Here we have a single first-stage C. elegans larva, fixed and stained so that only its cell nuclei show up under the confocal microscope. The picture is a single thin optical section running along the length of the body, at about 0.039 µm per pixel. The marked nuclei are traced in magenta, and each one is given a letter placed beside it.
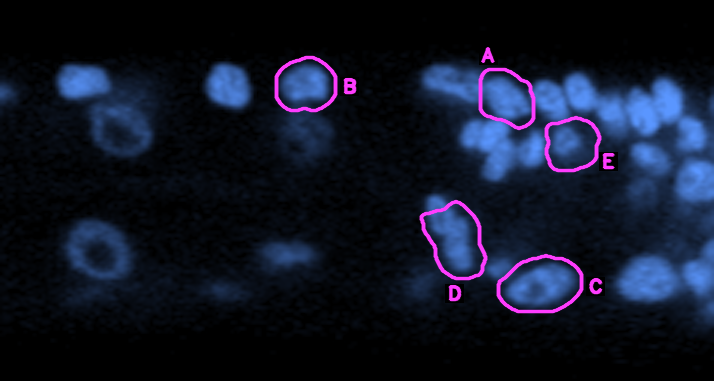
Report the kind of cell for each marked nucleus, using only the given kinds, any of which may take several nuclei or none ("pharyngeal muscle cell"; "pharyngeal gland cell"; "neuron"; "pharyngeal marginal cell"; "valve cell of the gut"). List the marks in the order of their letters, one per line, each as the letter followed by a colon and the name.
A: neuron
B: neuron
C: pharyngeal muscle cell
D: valve cell of the gut
E: pharyngeal marginal cell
